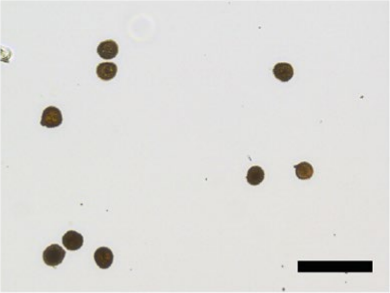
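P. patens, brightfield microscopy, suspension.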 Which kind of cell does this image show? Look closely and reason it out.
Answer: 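Spores. Separate, dark brown, opaque, round bodies lie scattered on a pale background. The bodies are of fairly uniform size. No green interior is visible through the dark coat.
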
